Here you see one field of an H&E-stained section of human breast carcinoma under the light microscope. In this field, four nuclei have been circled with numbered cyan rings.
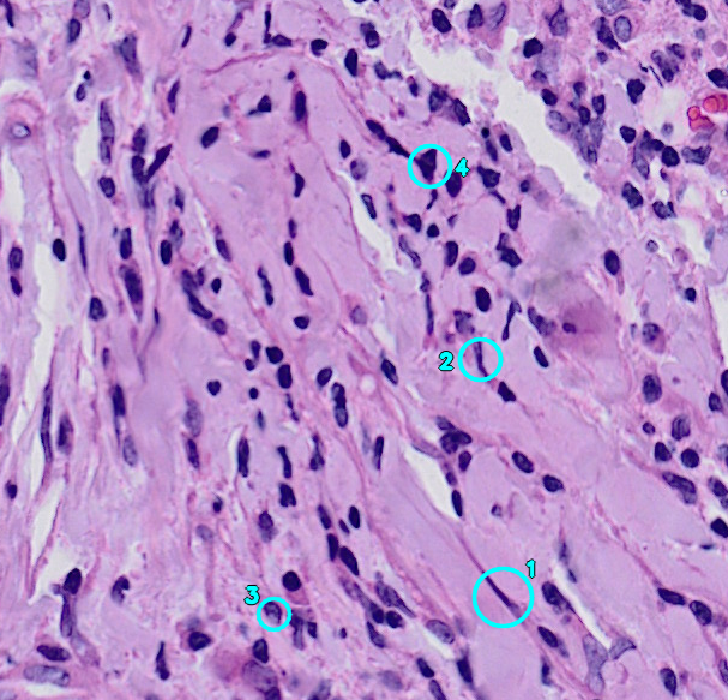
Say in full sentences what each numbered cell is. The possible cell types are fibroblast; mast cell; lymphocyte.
Cell 1 is a fibroblast, cell 2 is a fibroblast, cell 3 is a mast cell and cell 4 is a lymphocyte.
